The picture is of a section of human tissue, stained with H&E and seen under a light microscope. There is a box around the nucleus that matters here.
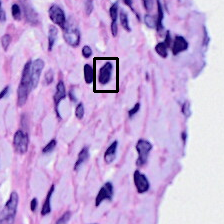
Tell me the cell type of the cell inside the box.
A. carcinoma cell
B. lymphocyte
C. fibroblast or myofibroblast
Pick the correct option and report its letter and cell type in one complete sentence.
Option B names the cell inside the box correctly as a lymphocyte.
